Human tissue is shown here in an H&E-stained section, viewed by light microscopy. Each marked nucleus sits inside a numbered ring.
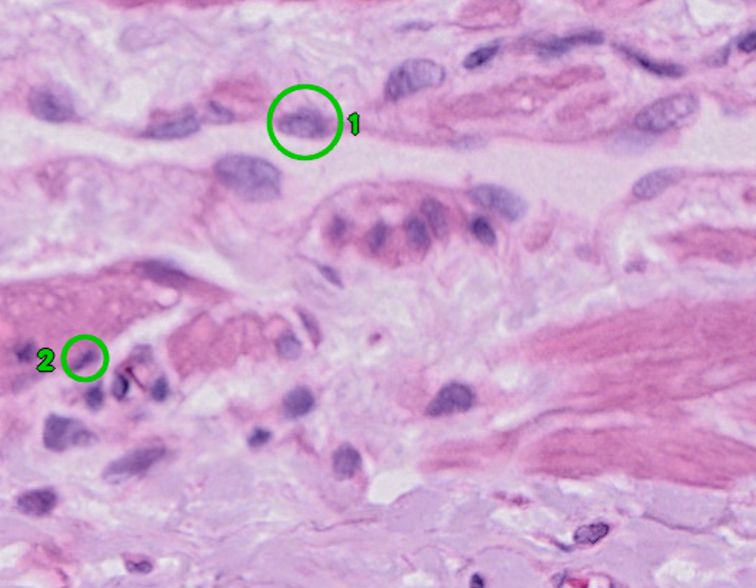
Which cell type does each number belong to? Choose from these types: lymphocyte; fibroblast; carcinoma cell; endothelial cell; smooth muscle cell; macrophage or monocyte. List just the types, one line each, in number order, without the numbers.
endothelial cell
smooth muscle cell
